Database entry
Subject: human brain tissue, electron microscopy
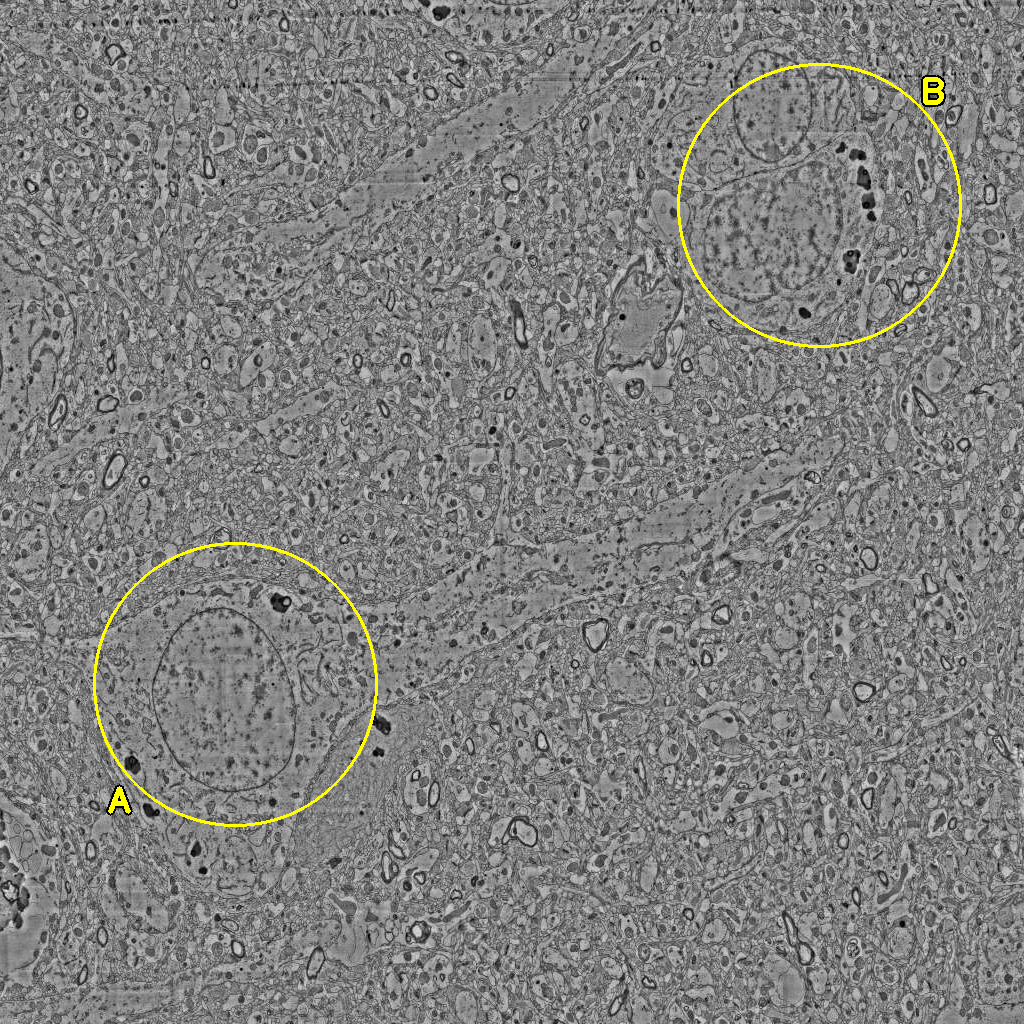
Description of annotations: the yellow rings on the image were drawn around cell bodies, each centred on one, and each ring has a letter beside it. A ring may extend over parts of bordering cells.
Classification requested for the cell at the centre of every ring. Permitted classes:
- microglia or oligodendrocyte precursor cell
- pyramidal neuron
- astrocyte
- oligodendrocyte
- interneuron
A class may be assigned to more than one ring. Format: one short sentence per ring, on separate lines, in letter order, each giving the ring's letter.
The cell body at the centre of ring A is a pyramidal neuron.
The cell body at the centre of ring B is an interneuron.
